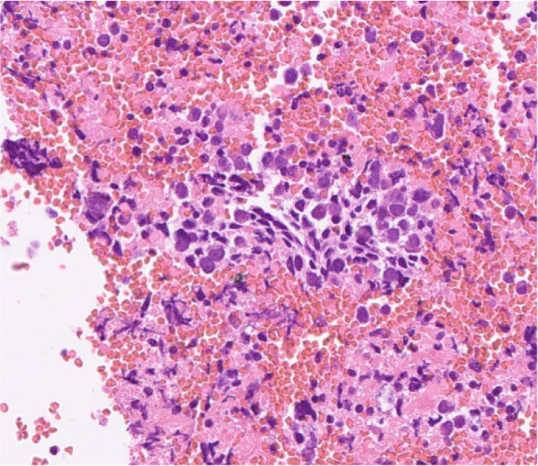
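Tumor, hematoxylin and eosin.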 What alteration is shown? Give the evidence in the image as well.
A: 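Hyperchromatic nuclei. Many cells have very dark purple nuclei. The dark nuclei vary in size and shape. Little cytoplasm surrounds the dark nuclei.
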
